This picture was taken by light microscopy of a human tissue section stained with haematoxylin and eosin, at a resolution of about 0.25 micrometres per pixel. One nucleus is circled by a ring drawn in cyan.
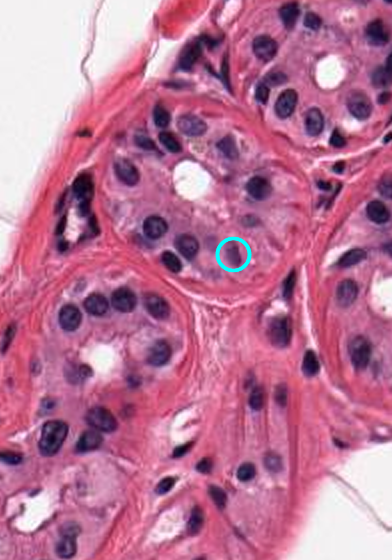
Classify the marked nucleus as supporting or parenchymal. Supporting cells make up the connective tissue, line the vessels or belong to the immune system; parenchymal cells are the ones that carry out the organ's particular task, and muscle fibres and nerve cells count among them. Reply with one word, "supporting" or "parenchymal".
parenchymal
